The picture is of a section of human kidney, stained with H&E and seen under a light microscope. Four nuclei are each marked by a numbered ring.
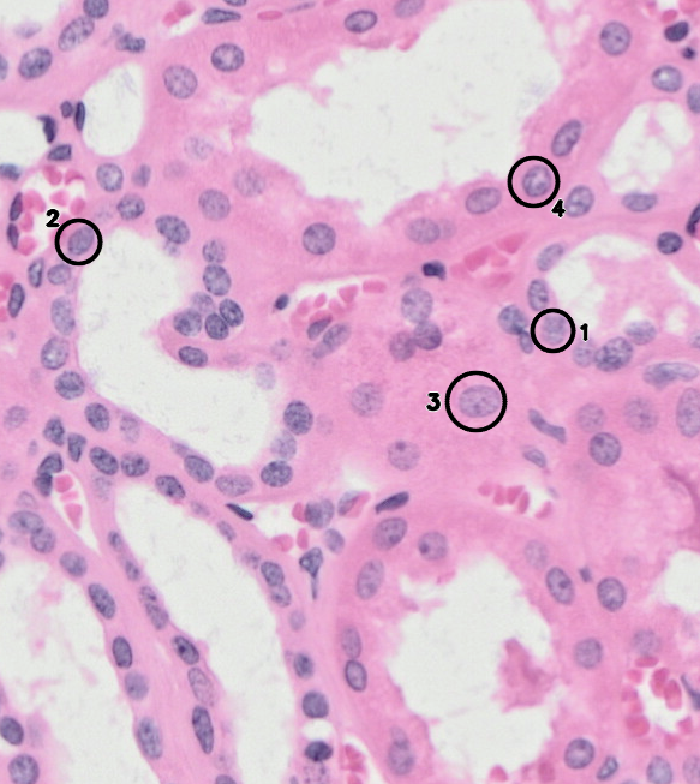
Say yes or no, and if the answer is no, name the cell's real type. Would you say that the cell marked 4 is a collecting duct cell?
No, it is a proximal tubule cell.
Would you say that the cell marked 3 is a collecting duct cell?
No, it is a proximal tubule cell.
